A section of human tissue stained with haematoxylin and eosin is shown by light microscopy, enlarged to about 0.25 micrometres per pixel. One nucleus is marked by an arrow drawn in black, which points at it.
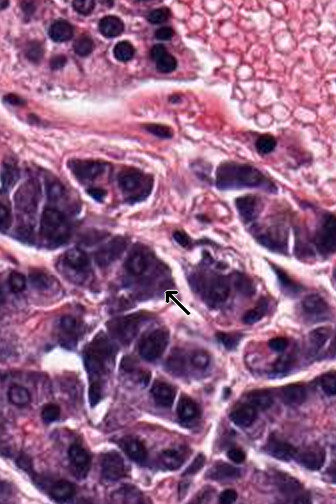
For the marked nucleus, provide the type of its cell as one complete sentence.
The marked nucleus forms part of a pancreatic acinar cell.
